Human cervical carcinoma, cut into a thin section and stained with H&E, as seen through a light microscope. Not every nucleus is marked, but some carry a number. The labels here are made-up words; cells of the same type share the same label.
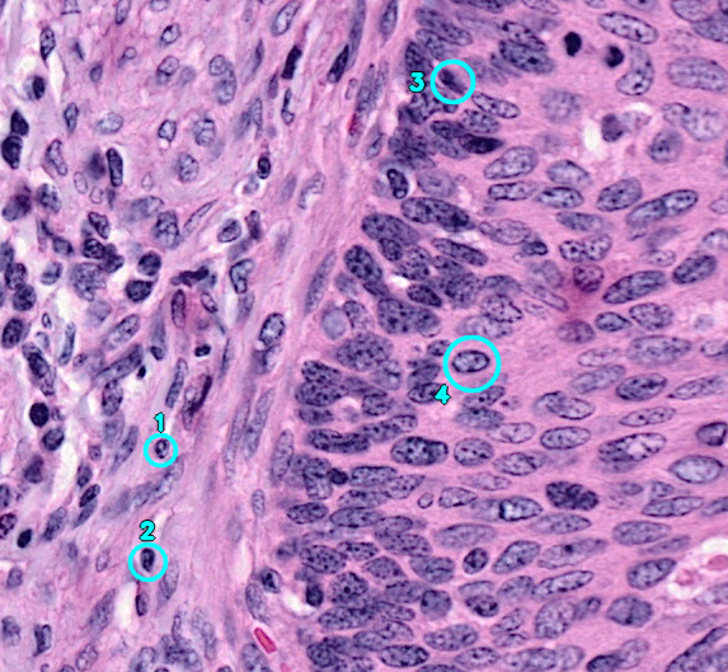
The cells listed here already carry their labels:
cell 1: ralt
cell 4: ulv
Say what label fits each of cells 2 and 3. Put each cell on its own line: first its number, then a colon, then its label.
2: ralt
3: ulv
